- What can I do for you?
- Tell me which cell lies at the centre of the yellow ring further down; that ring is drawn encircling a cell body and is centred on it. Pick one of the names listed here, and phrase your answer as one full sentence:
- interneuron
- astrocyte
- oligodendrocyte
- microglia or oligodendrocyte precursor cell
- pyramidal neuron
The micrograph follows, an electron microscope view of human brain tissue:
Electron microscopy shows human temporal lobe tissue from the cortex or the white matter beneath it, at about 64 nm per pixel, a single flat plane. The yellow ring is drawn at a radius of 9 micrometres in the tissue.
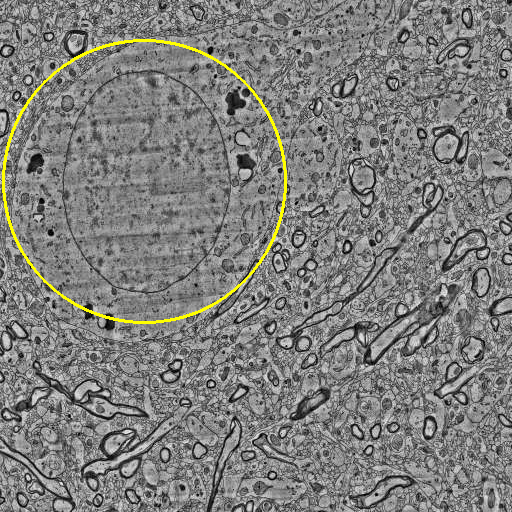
The cell whose body lies at the centre of the yellow ring is a pyramidal neuron.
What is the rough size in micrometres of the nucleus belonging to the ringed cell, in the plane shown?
The nucleus appears roughly 14 by 11 micrometres in this plane.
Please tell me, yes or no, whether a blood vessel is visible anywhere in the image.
No, none shows.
